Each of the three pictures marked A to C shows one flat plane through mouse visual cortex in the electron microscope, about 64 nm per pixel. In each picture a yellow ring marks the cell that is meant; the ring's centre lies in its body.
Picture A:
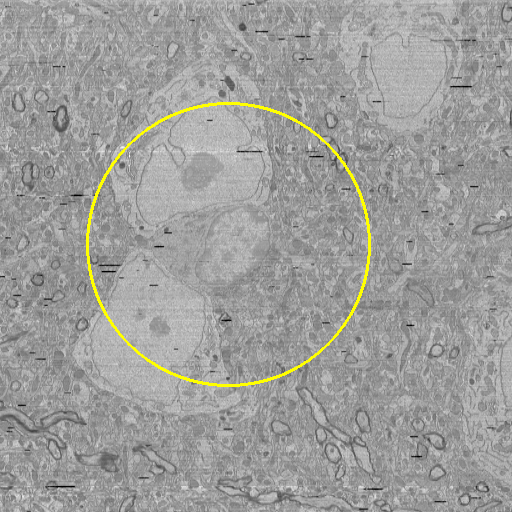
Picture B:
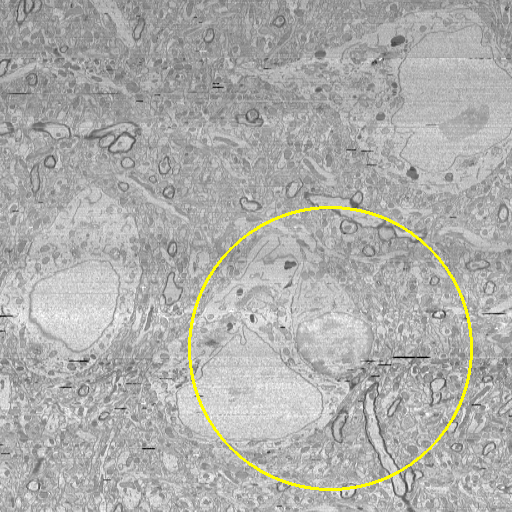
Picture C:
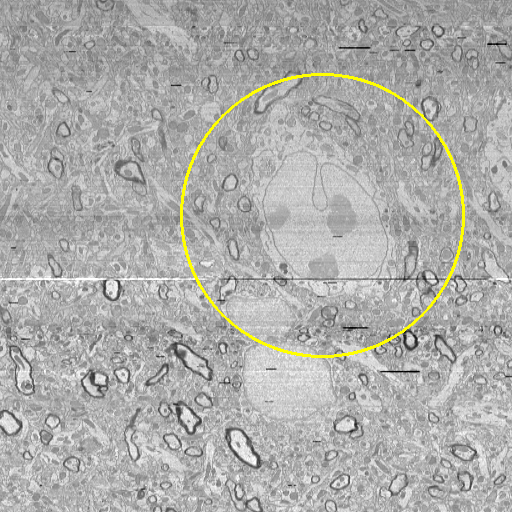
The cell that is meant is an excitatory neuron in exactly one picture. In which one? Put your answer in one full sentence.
The cell in picture C is the excitatory neuron.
